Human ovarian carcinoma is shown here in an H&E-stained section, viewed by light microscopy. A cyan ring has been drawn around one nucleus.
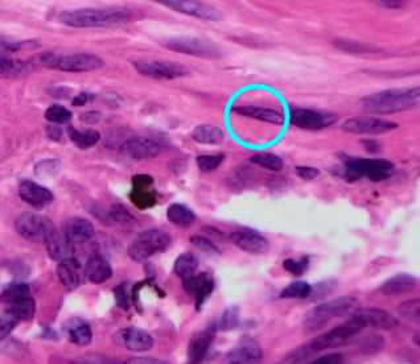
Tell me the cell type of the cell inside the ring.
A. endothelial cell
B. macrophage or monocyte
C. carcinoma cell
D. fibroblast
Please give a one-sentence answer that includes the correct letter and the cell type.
In short, option A: the cell inside the ring is an endothelial cell.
